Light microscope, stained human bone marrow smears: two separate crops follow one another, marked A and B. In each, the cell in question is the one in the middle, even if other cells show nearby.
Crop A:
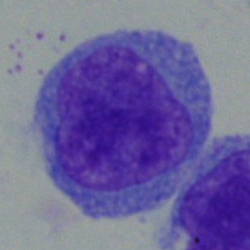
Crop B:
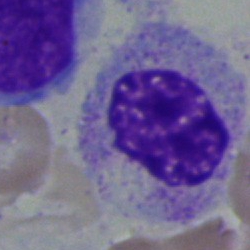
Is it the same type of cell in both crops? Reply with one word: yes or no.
no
